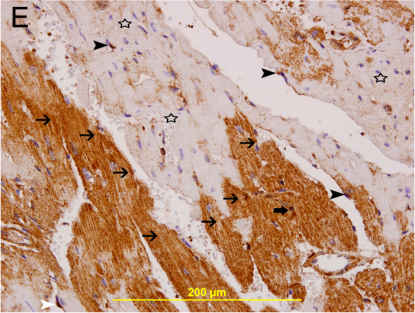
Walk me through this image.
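Right beside them lie myocytes of the same elongated form whose cytoplasm is pale, showing only their bluish oval nuclei. The border between the dark and the pale fibres is sharp, so the brown areas stand out as well demarcated patches. Thin clefts of interstitial space run between the fibre bundles.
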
